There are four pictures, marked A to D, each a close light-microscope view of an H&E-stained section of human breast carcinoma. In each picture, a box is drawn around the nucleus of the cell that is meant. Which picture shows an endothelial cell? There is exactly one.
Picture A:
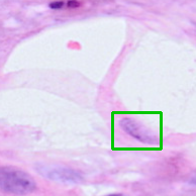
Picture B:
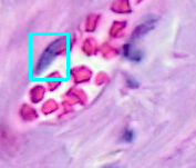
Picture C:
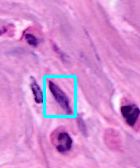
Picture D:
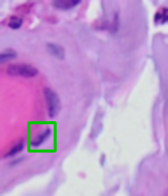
B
